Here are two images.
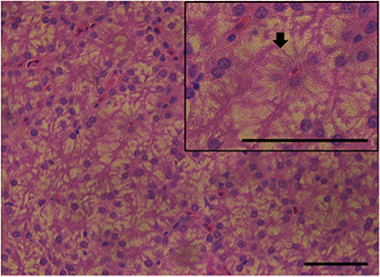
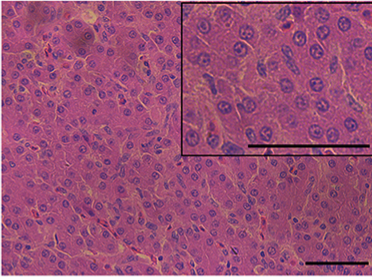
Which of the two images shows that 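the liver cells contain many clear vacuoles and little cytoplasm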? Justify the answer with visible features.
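The first image. Second image: liver cells have evenly pink, full cytoplasm around round nuclei. First image: liver cells are riddled with pale clear spaces, leaving thin pink strands.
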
